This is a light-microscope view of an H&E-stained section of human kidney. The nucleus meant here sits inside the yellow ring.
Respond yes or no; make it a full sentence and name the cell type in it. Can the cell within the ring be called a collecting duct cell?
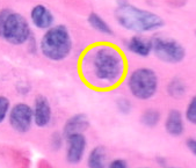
Yes, where cell type is concerned, the cell within the ring is a collecting duct cell.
